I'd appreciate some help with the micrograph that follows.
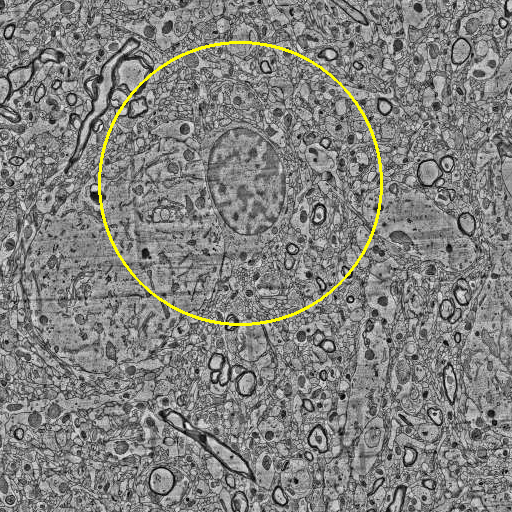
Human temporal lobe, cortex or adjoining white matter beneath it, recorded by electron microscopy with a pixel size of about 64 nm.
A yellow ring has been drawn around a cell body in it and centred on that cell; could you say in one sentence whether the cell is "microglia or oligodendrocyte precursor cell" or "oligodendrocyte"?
It is an oligodendrocyte at the centre of the ring.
